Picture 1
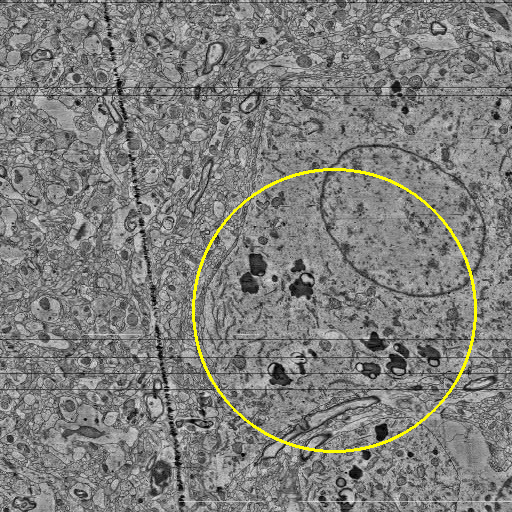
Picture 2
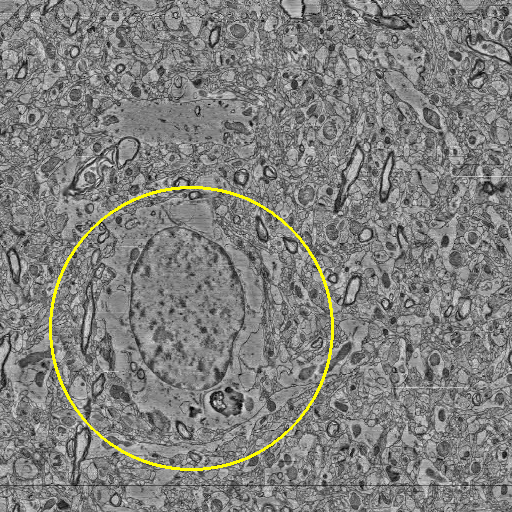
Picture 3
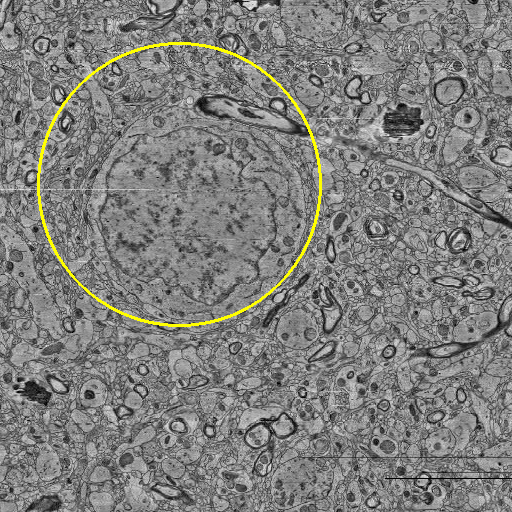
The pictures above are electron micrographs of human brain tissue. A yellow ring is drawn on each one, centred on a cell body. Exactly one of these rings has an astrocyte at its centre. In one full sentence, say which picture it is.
Picture 2 has it at the centre of its ring.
